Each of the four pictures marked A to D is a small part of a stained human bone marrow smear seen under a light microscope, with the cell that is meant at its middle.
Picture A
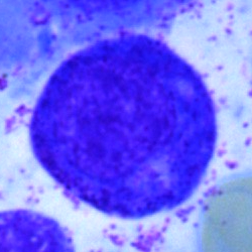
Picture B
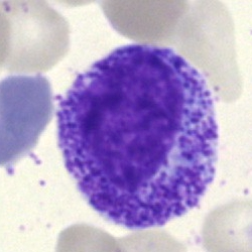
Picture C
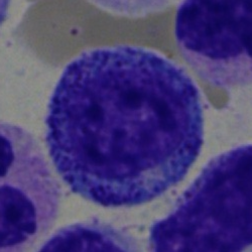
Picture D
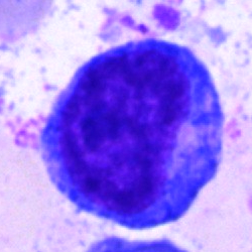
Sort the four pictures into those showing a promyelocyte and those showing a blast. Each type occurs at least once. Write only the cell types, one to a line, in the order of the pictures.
promyelocyte
promyelocyte
promyelocyte
blast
